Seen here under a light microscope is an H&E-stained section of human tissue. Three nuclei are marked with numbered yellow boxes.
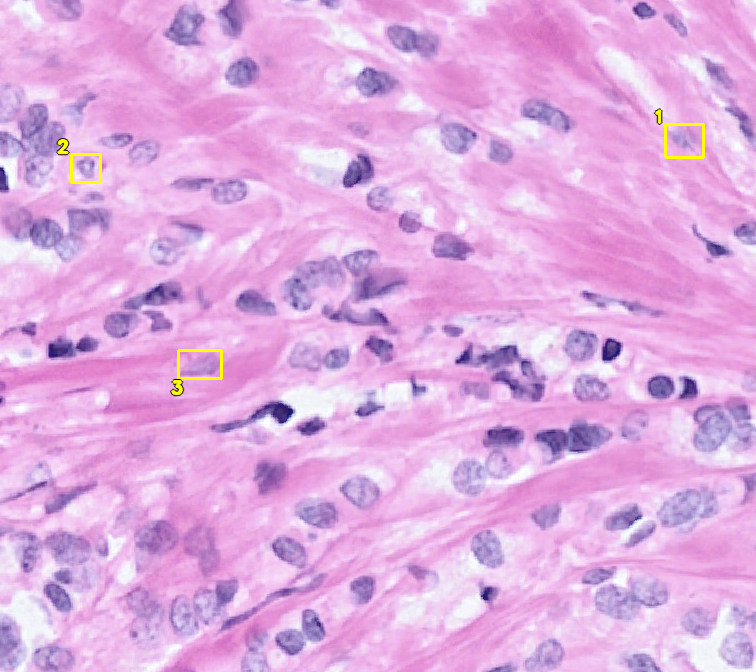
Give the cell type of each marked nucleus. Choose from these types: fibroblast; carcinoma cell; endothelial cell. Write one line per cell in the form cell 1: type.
cell 1: fibroblast
cell 2: endothelial cell
cell 3: fibroblast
